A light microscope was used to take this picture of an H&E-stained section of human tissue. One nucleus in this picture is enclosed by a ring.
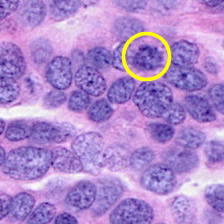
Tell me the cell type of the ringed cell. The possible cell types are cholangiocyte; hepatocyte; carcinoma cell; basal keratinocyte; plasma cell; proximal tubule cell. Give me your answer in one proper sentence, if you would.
Typologically, the ringed cell is a carcinoma cell in this section.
